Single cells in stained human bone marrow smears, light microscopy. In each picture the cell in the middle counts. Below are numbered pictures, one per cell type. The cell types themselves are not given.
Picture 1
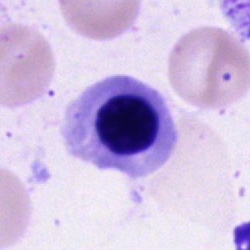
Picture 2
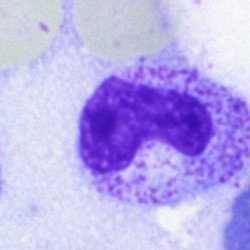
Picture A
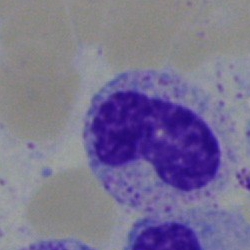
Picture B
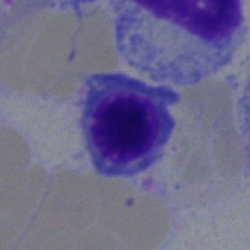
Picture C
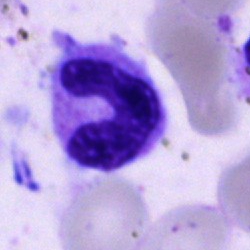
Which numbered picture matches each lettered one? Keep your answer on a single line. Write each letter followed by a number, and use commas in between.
A 2, B 1, C 2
